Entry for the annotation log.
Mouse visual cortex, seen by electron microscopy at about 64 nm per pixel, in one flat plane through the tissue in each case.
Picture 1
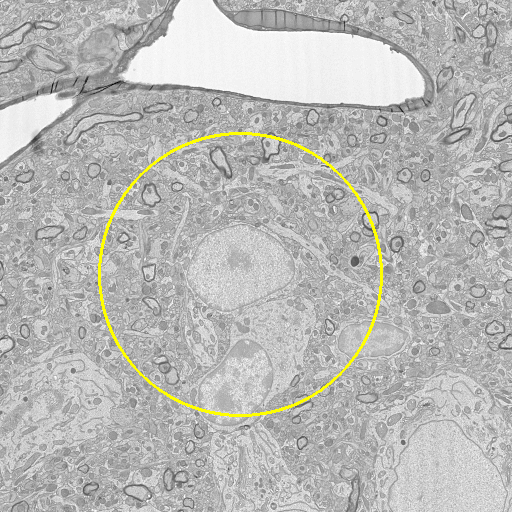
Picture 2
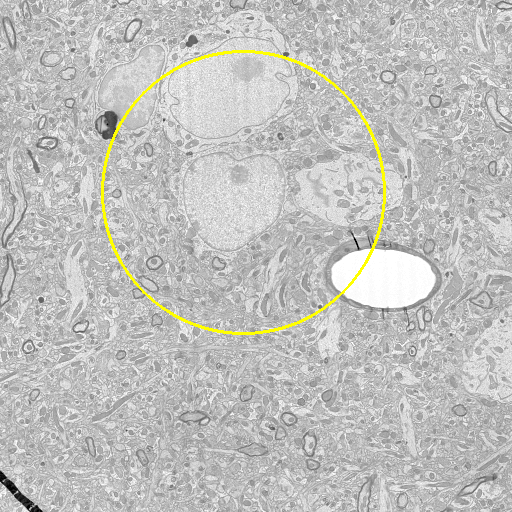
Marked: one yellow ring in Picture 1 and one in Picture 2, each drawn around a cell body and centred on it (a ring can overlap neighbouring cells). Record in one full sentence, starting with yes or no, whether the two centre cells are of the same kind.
Yes, both cells are of the same kind.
